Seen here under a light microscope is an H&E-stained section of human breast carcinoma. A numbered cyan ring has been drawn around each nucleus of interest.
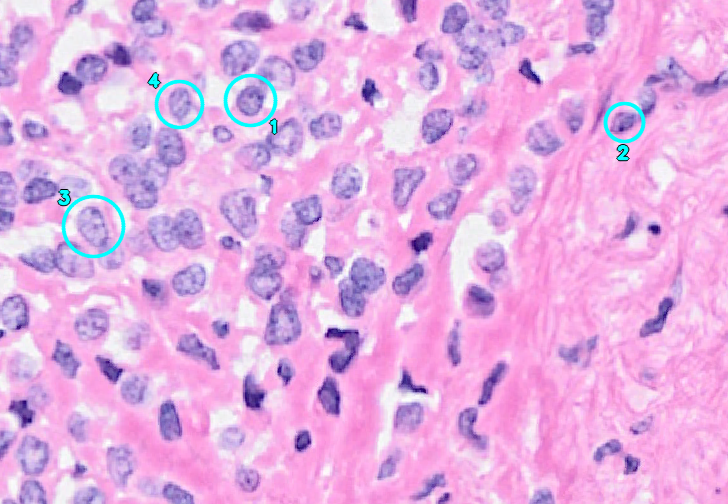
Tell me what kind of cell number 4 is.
carcinoma cell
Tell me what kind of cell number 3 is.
carcinoma cell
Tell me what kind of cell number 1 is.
carcinoma cell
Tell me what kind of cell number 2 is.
endothelial cell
